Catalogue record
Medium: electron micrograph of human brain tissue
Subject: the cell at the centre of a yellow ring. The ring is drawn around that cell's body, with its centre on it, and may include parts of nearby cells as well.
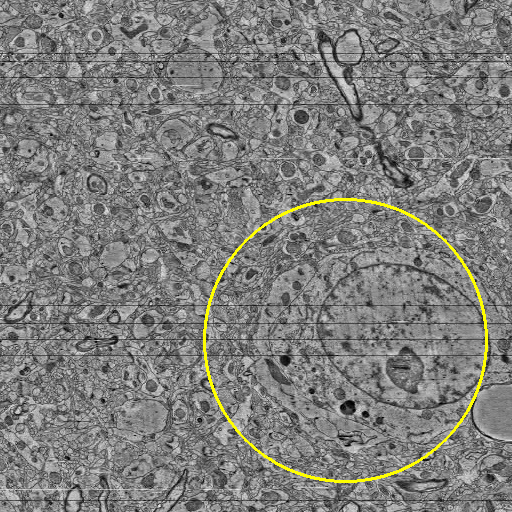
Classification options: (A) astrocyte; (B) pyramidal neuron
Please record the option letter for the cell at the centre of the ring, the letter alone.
B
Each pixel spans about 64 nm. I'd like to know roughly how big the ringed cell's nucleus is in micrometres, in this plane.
Roughly 11 micrometres by 9 micrometres, in this plane.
